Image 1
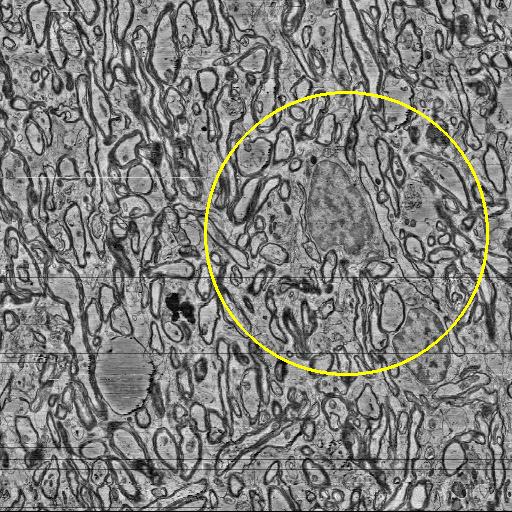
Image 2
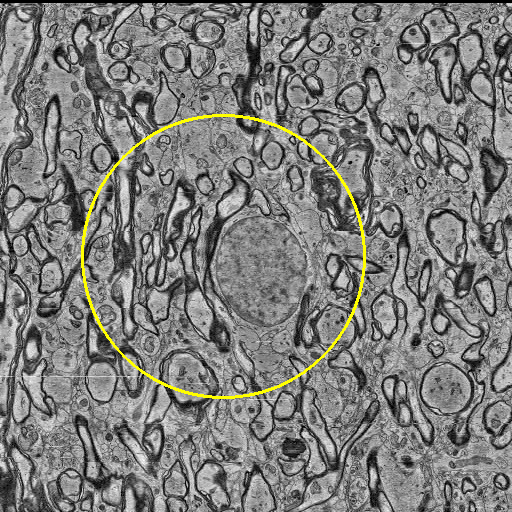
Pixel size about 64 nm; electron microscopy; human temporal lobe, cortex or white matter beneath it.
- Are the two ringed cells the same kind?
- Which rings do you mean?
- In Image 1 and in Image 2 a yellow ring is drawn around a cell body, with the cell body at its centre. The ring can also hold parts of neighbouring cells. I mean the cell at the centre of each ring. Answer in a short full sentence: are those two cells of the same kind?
No, the cells are of two kinds.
